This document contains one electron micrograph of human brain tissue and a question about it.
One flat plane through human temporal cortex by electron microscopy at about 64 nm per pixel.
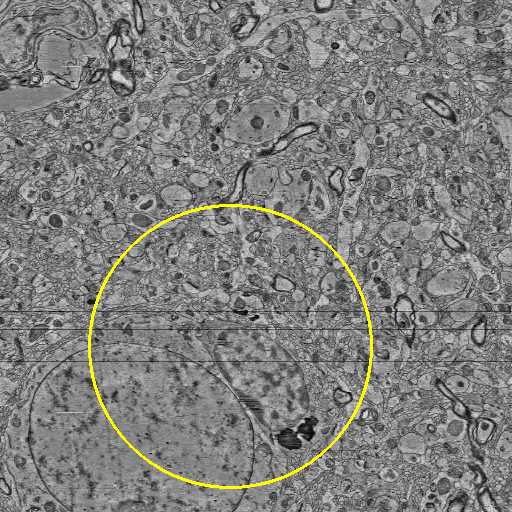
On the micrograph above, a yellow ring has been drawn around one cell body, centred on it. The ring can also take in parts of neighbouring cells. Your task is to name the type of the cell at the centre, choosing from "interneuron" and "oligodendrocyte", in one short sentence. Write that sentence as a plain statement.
Here the ring is centred on an oligodendrocyte.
